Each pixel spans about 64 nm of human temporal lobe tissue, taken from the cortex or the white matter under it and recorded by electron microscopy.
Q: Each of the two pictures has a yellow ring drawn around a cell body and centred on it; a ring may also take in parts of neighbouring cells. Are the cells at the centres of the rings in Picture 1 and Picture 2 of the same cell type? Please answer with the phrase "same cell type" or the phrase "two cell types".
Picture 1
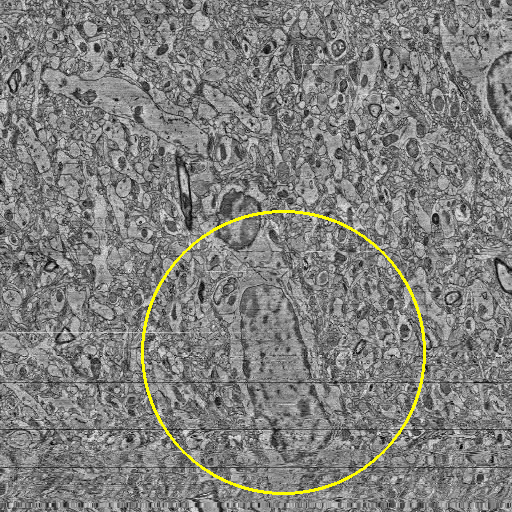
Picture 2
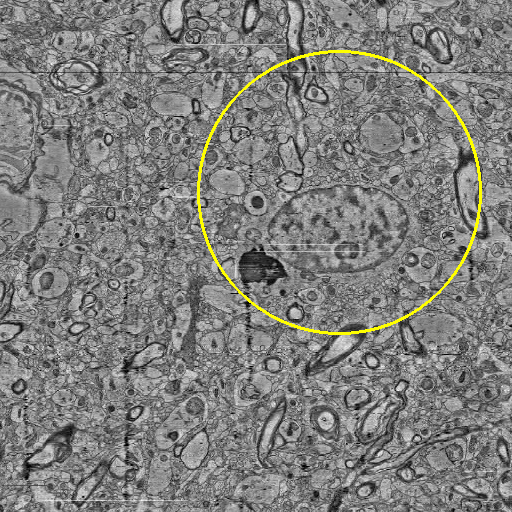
two cell types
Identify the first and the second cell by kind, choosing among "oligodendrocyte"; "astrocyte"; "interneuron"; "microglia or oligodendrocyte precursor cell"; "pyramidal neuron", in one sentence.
The one in the first picture is a microglial cell or oligodendrocyte precursor cell, while the one in the second is an oligodendrocyte.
